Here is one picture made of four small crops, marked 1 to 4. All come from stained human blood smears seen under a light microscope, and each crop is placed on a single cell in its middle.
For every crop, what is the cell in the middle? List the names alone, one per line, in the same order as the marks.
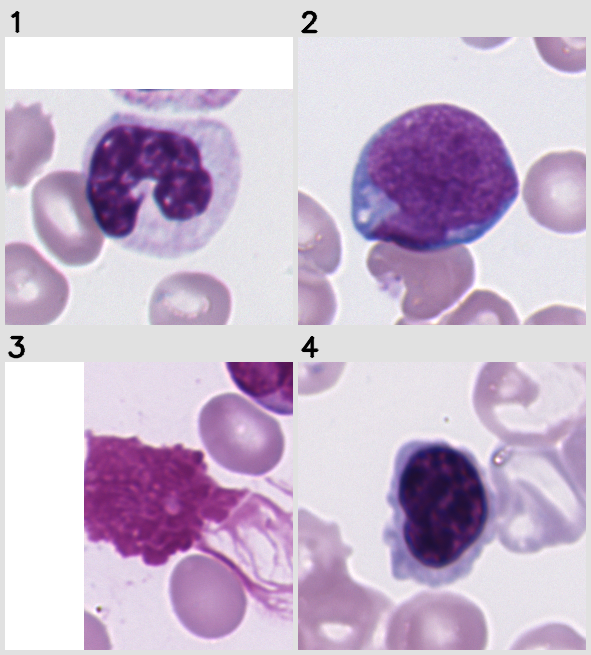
band neutrophil
myeloblast
smudge cell
normoblast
